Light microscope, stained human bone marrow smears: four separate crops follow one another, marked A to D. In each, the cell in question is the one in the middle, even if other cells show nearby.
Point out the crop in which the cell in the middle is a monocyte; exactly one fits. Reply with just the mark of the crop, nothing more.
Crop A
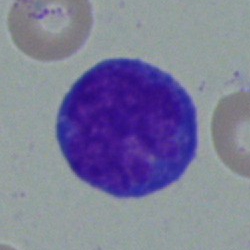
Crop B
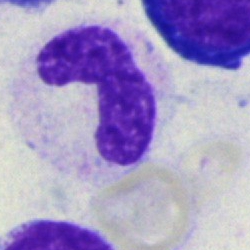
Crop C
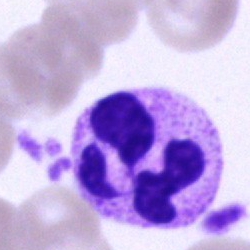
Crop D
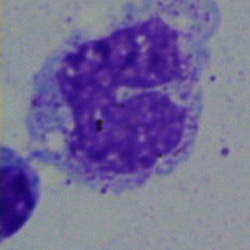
D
